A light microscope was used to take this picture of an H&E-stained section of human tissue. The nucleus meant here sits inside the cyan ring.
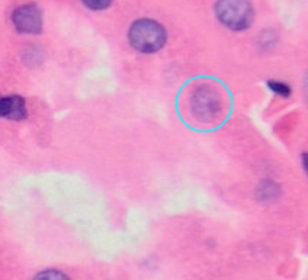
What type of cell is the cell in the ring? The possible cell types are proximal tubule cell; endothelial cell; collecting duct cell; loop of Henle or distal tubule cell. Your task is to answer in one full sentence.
Recorded by type, the cell in the ring is a proximal tubule cell.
